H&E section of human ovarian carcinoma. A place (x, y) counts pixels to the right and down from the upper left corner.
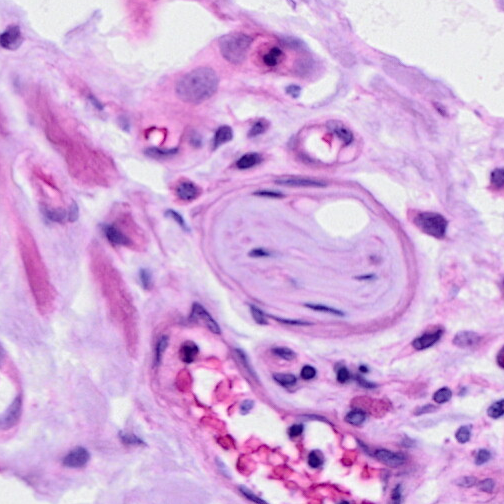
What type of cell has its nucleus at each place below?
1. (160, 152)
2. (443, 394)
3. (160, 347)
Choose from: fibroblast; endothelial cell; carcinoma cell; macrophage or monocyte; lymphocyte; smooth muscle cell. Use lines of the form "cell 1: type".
cell 1: endothelial cell
cell 2: lymphocyte
cell 3: endothelial cell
